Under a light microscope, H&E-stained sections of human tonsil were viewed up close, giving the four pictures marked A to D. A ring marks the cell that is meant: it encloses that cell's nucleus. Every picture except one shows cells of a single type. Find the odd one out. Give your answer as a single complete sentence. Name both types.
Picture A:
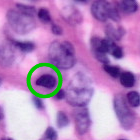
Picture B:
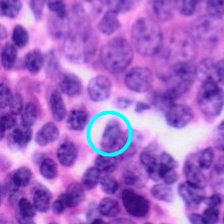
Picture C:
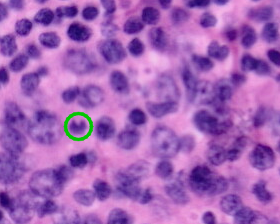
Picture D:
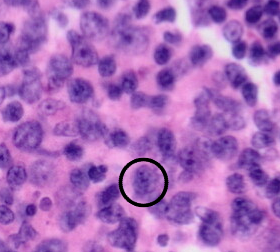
The others show proliferating B cells, but picture A shows an endothelial cell.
